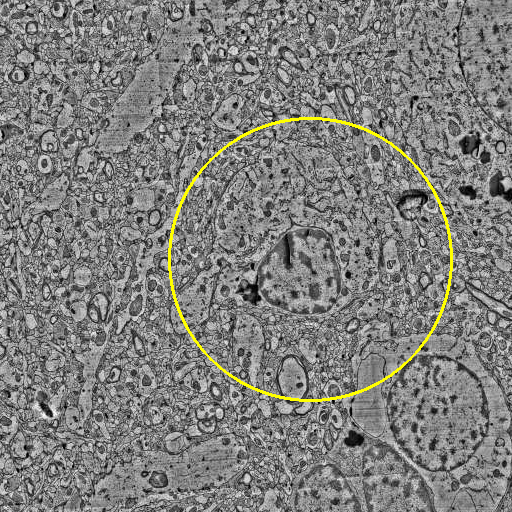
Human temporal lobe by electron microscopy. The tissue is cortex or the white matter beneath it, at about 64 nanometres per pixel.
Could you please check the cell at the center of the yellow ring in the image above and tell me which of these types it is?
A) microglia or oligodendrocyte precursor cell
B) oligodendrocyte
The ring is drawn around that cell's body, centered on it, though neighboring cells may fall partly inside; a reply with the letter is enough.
A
